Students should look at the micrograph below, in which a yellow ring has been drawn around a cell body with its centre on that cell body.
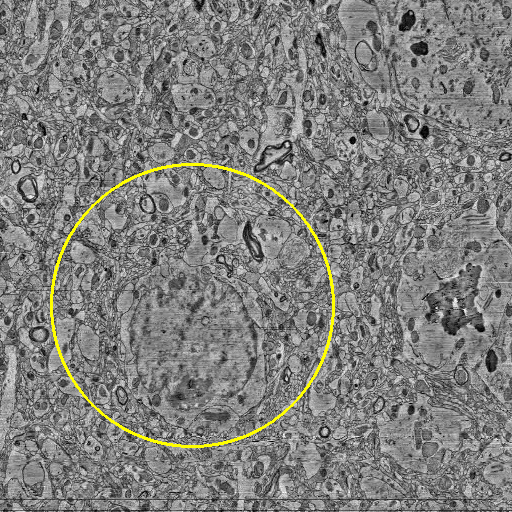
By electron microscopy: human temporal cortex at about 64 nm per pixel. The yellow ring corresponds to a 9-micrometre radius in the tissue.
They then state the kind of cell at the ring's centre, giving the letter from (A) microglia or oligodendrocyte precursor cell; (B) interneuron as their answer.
B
